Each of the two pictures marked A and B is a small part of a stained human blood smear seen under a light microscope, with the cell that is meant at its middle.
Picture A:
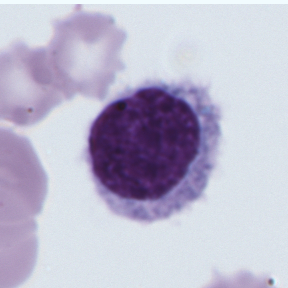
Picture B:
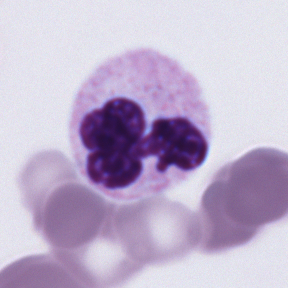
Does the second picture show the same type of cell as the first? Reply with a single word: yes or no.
no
